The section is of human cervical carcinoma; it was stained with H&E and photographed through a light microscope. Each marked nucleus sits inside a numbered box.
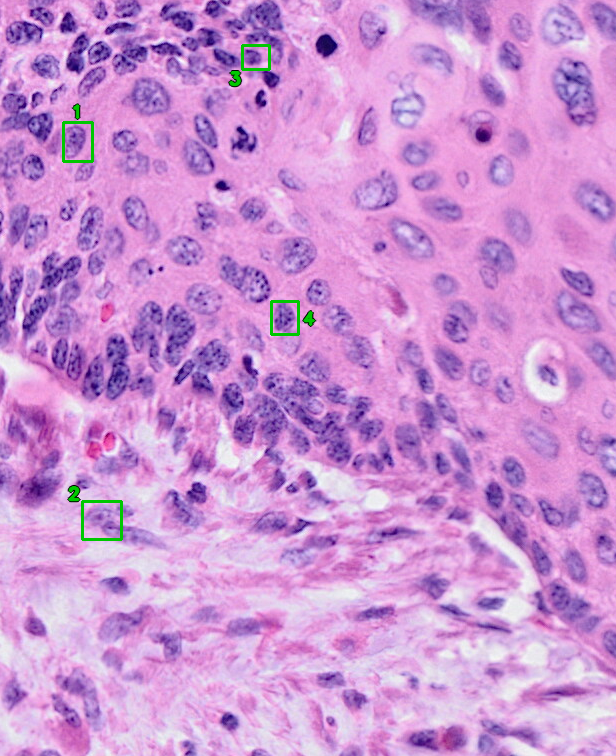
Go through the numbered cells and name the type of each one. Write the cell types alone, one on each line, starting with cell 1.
squamous carcinoma cell
fibroblast
squamous carcinoma cell
squamous carcinoma cell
